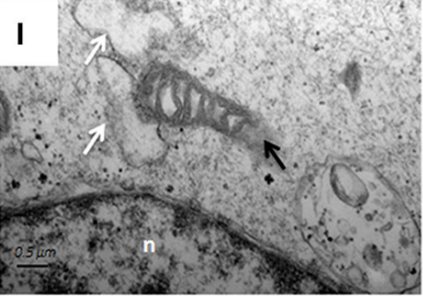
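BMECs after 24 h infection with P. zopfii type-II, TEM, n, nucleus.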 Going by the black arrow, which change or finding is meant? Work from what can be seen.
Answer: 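Mitochondria disruption. The black arrow points to an elongated organelle with transverse inner membrane folds.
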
